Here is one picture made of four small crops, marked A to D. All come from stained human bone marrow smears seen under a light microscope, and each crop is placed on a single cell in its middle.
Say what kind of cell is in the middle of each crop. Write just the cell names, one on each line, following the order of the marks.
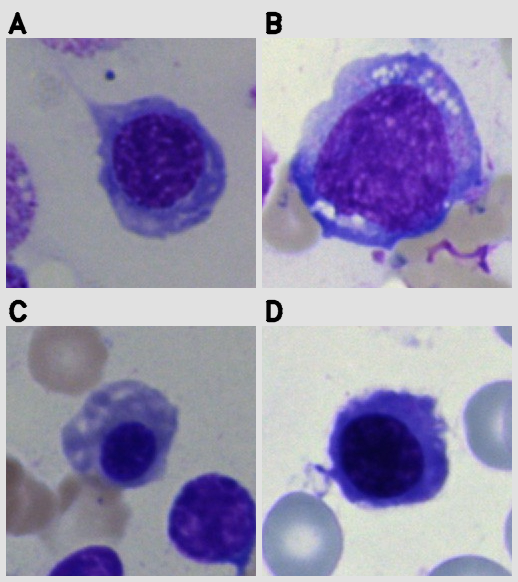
erythroblast
blast
erythroblast
erythroblast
